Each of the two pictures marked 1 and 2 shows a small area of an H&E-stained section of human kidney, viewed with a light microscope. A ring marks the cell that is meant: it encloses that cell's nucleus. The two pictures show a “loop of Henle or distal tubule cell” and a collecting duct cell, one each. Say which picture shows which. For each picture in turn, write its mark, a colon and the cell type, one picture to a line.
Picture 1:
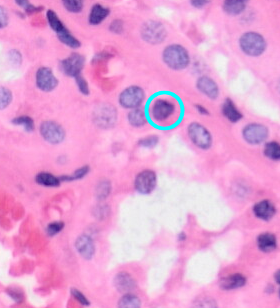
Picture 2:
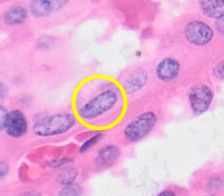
1: loop of Henle or distal tubule cell
2: collecting duct cell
